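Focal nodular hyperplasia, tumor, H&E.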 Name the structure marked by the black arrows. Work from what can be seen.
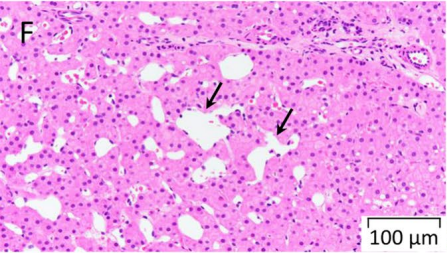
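The arrows point to wide, empty, irregular spaces between plates of hepatocytes. Such spaces are scattered through the field.
Answer: dilated sinusoids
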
